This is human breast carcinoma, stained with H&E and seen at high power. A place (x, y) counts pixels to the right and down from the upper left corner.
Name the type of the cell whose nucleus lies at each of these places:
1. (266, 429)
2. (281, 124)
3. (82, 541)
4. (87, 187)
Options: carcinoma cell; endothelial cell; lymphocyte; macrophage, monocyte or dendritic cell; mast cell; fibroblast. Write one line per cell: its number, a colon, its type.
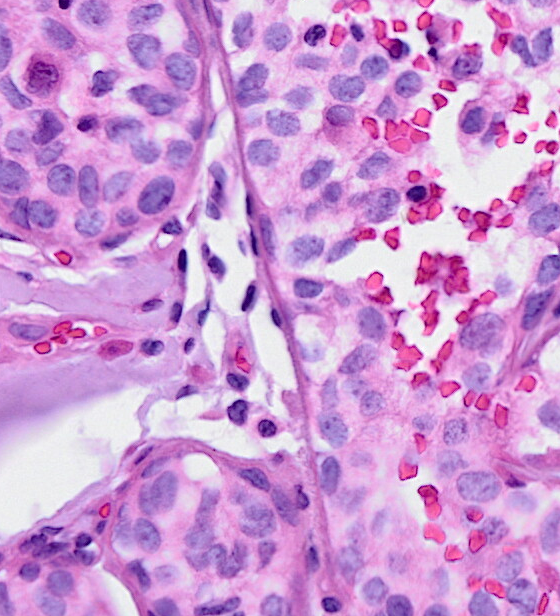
1: mast cell
2: carcinoma cell
3: endothelial cell
4: carcinoma cell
